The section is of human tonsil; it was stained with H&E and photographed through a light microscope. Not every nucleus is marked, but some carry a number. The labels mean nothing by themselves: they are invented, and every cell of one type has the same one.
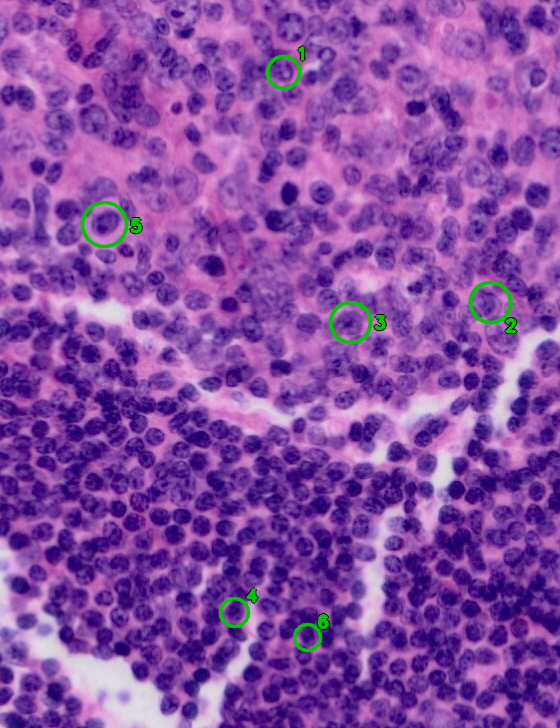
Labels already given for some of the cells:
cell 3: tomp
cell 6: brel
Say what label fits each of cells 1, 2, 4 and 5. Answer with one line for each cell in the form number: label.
1: tomp
2: tomp
4: brel
5: tomp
